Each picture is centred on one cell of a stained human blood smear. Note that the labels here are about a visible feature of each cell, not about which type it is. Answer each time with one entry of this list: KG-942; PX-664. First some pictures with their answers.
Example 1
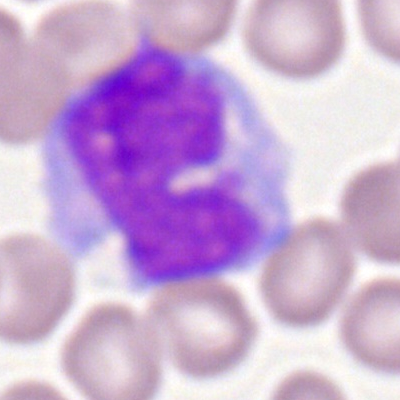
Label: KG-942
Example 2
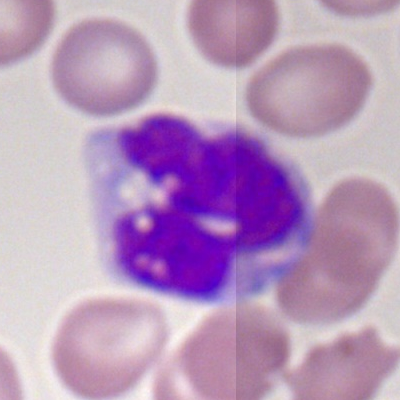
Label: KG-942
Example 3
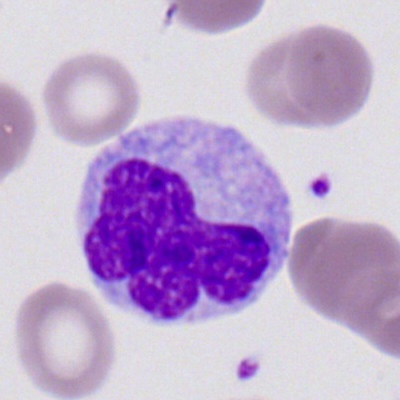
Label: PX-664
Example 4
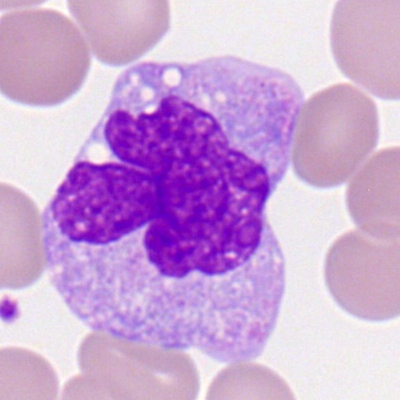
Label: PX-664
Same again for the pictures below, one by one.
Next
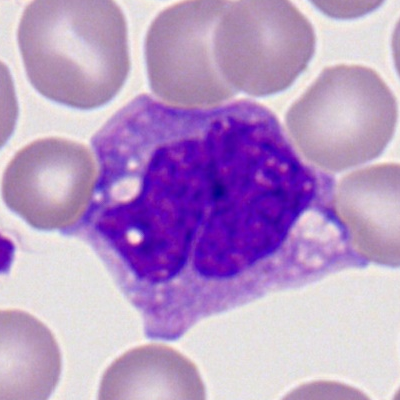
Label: PX-664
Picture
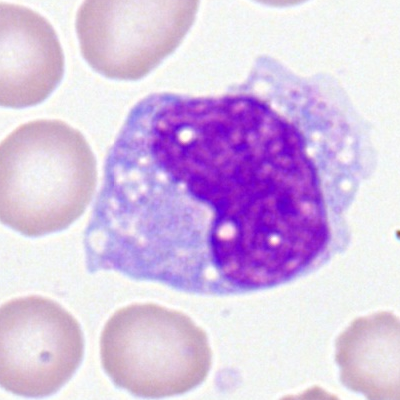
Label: PX-664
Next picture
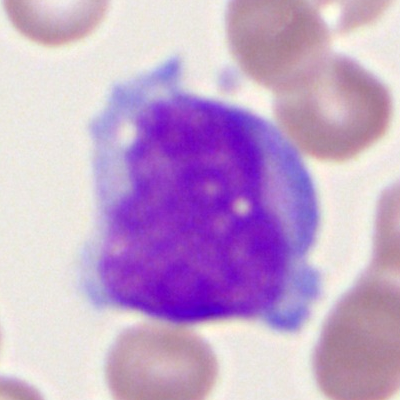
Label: KG-942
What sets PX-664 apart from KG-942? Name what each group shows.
PX-664: many visible granules; KG-942: no visible granules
